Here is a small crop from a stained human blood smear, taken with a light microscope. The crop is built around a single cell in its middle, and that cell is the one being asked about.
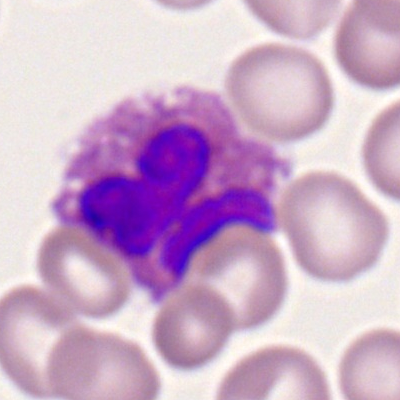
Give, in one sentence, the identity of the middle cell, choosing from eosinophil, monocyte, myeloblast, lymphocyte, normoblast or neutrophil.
This particular crop is centered on an eosinophil.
